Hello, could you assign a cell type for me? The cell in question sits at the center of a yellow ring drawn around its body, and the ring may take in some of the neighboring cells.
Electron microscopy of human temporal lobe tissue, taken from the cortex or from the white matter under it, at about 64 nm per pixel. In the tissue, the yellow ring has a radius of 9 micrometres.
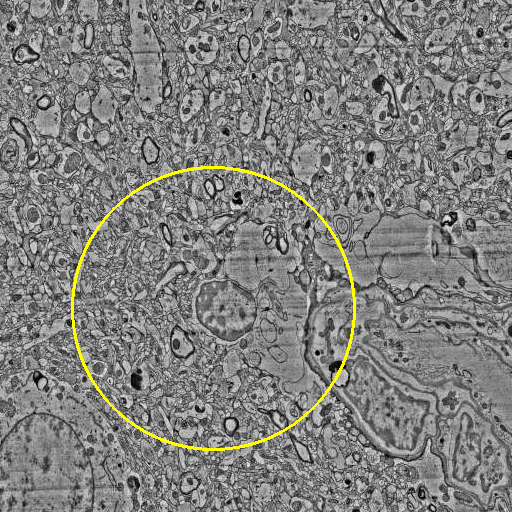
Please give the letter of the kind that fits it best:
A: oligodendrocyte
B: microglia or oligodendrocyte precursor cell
B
